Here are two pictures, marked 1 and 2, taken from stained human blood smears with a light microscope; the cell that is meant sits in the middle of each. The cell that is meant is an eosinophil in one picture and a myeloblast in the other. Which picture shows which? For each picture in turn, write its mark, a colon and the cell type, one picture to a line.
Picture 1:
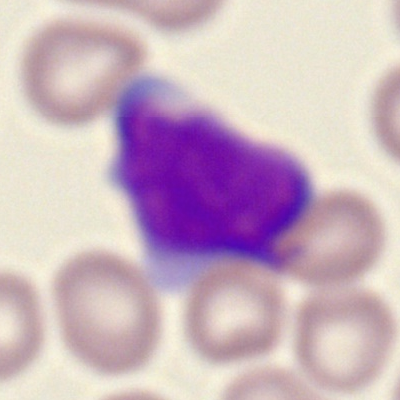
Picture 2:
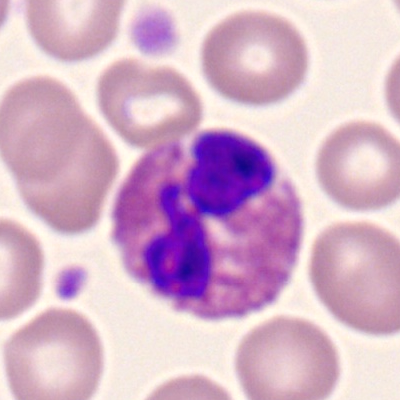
1: myeloblast
2: eosinophil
